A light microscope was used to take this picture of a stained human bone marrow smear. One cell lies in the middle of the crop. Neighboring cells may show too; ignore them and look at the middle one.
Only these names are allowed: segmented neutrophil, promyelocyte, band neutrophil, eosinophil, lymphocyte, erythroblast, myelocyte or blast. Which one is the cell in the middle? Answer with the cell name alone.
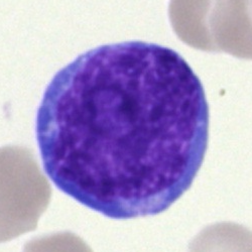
blast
